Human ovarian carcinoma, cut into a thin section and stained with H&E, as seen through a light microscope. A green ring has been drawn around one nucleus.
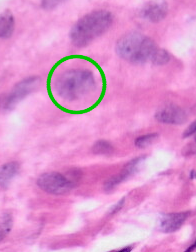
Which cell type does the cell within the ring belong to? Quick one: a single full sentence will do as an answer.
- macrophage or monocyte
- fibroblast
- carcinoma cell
In this tissue section, the cell within the ring is to be classed as a fibroblast.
